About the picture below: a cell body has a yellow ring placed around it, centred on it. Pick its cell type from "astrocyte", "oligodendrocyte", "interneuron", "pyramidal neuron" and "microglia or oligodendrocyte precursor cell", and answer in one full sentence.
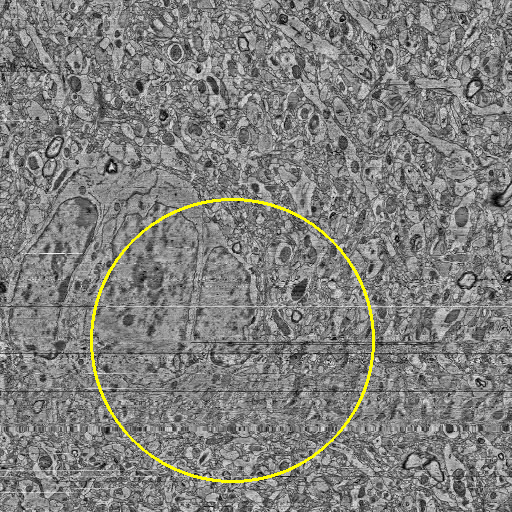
In the picture, a microglial cell or oligodendrocyte precursor cell is the cell sitting at the centre of the yellow ring.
